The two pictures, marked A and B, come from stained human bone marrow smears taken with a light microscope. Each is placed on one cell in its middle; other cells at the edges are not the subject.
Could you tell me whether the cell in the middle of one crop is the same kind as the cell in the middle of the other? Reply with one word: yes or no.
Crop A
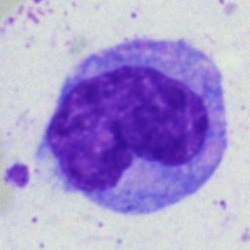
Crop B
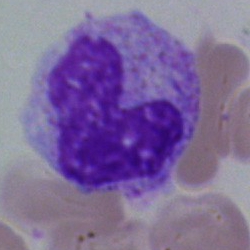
no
